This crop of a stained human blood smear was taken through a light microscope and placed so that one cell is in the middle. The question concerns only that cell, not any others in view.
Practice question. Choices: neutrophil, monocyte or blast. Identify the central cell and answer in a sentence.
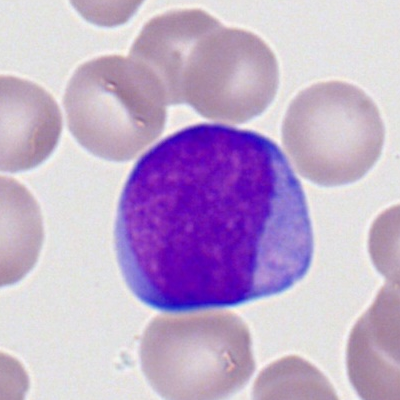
Occupying the centre of the crop is a blast.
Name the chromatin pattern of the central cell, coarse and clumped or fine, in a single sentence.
The chromatin is fine, with no coarse clumping anywhere.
